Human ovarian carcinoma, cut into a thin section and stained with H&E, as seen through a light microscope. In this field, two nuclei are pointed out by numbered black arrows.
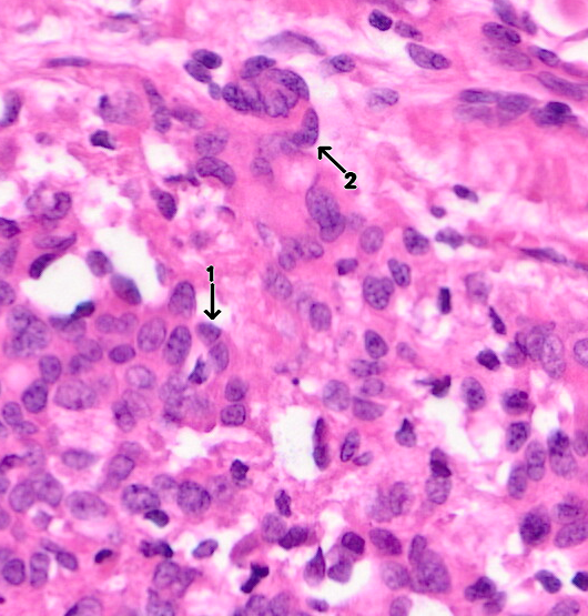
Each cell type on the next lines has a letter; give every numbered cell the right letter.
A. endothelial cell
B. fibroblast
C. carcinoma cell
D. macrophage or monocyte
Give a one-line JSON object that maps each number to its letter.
{"1": "C", "2": "A"}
